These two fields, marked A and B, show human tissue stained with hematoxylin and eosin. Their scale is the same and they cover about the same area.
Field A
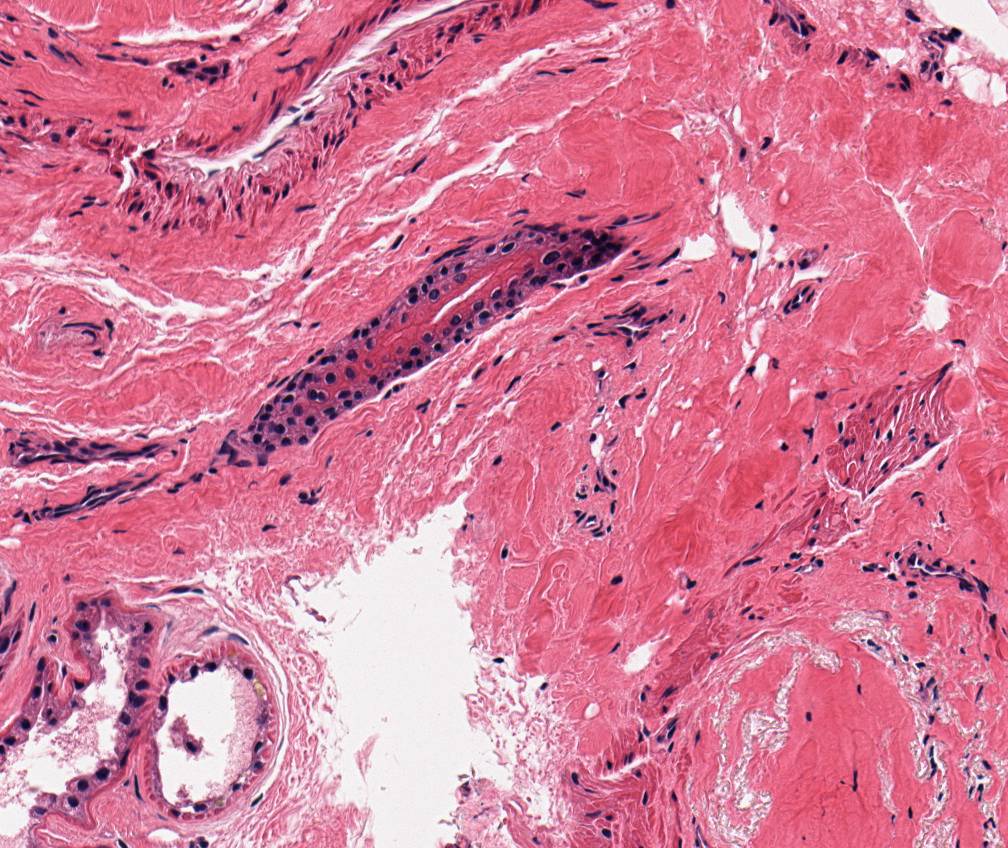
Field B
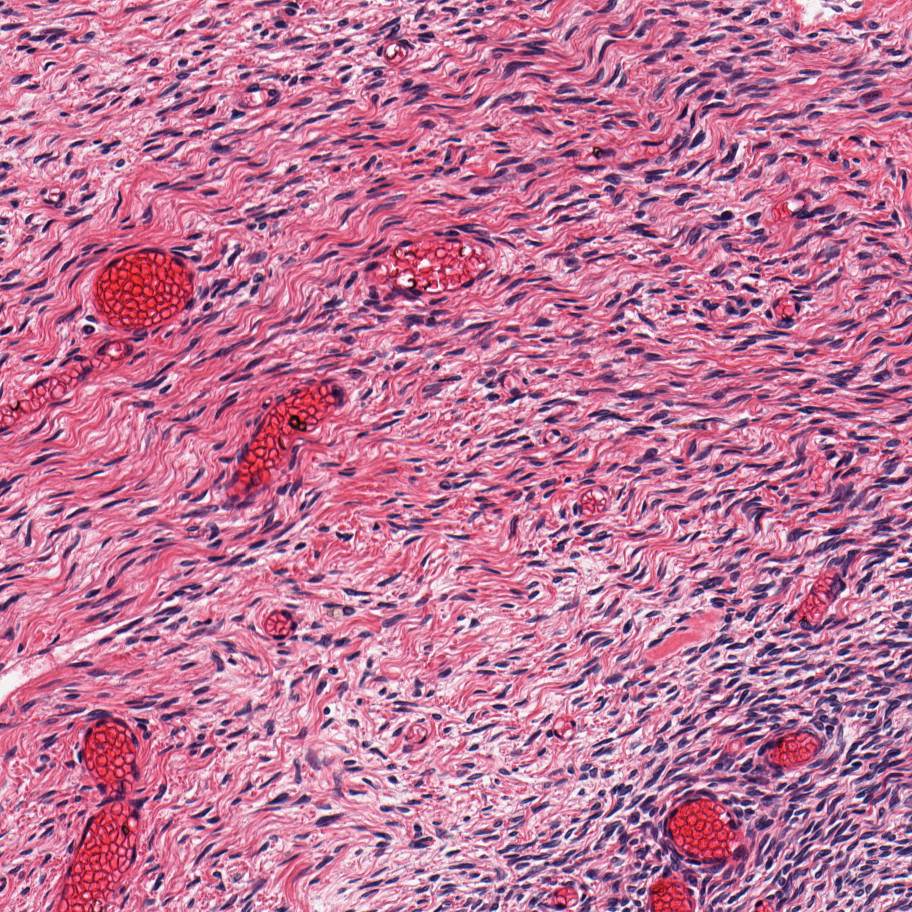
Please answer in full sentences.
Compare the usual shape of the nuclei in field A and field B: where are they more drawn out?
The nuclei are more elongated in field B.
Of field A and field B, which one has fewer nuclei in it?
There are fewer nuclei in field A.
